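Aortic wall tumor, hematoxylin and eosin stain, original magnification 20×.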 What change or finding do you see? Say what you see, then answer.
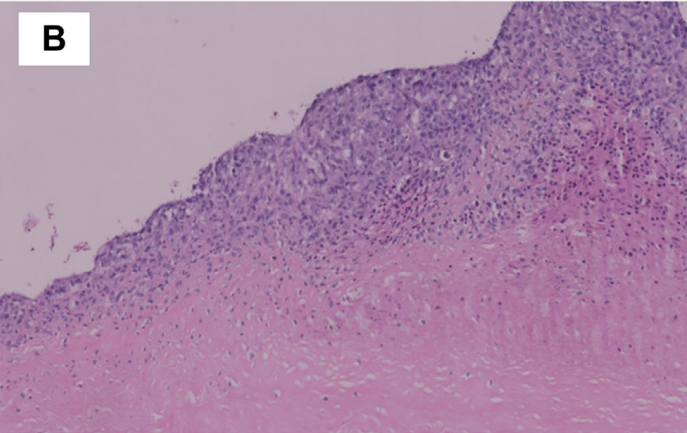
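A crowded band of purple nuclei lies over paler pink fibrous tissue. The nuclei are packed closely with little intervening stroma.
High cellular density.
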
